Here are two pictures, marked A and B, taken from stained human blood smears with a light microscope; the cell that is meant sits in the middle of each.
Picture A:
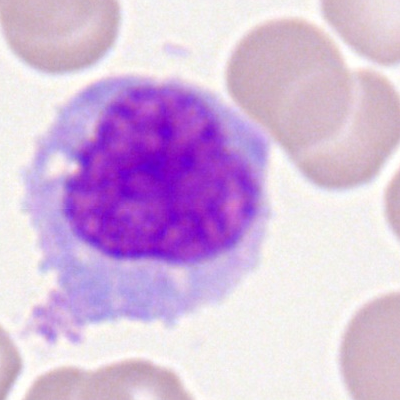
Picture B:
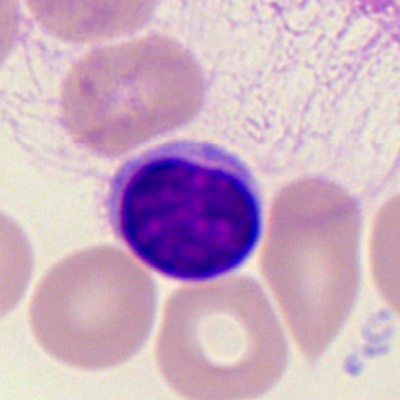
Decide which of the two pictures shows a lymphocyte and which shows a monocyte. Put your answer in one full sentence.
In picture A the cell is a monocyte; in picture B, a lymphocyte.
